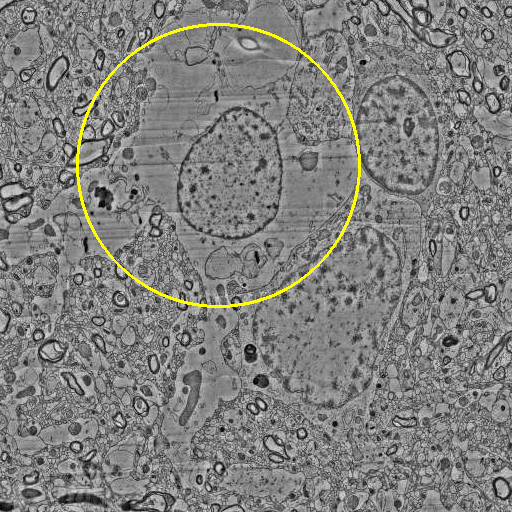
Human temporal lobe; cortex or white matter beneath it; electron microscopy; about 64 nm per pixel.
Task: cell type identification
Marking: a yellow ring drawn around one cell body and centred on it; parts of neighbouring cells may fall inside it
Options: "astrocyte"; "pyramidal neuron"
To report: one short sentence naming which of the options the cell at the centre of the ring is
The cell at the centre of the ring is an astrocyte.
